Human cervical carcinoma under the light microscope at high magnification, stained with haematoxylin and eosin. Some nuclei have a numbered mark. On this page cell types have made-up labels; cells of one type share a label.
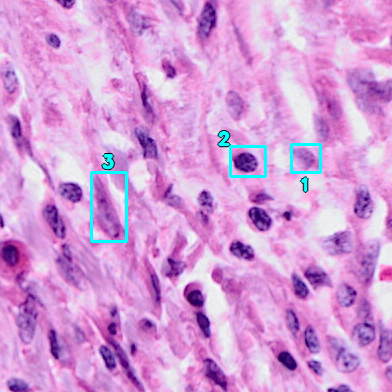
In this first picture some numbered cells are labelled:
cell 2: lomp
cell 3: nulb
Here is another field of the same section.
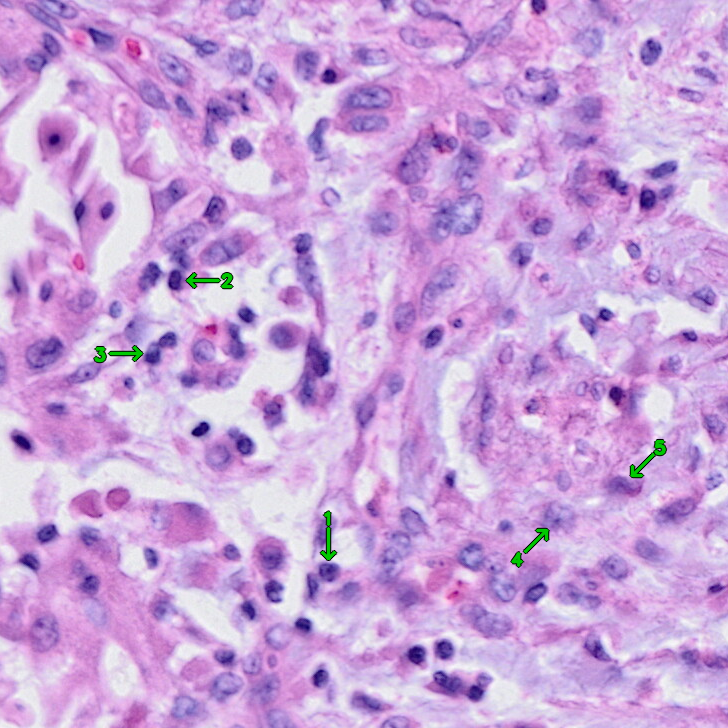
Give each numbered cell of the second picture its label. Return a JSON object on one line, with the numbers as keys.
{"1": "lomp", "2": "lomp", "3": "lomp", "4": "nulb", "5": "nulb"}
